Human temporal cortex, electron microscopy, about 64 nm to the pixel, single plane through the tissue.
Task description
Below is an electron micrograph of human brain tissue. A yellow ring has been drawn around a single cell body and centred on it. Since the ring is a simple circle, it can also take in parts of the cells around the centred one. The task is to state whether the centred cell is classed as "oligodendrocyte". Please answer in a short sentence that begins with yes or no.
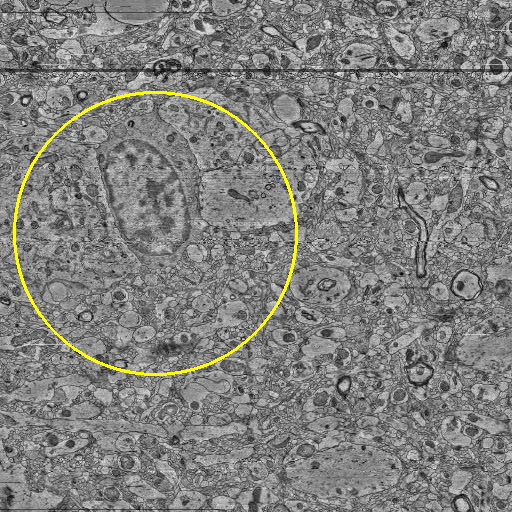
Yes, the centred cell is classed that way.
